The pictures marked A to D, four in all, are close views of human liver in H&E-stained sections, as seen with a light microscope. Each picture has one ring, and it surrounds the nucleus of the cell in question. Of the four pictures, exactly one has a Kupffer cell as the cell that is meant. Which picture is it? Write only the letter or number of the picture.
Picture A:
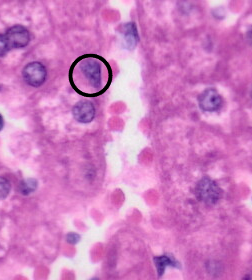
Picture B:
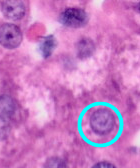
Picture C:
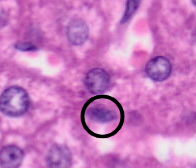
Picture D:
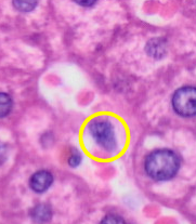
D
